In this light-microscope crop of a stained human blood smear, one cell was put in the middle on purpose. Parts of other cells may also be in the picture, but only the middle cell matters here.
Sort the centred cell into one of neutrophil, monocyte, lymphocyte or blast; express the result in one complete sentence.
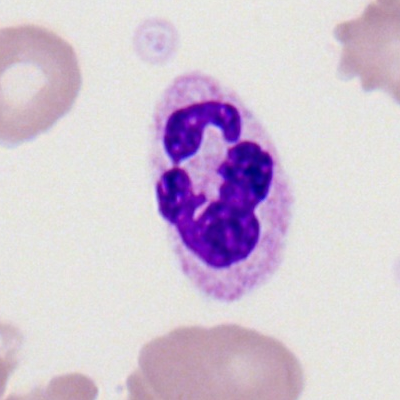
By type, the central cell of the crop is a neutrophil.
